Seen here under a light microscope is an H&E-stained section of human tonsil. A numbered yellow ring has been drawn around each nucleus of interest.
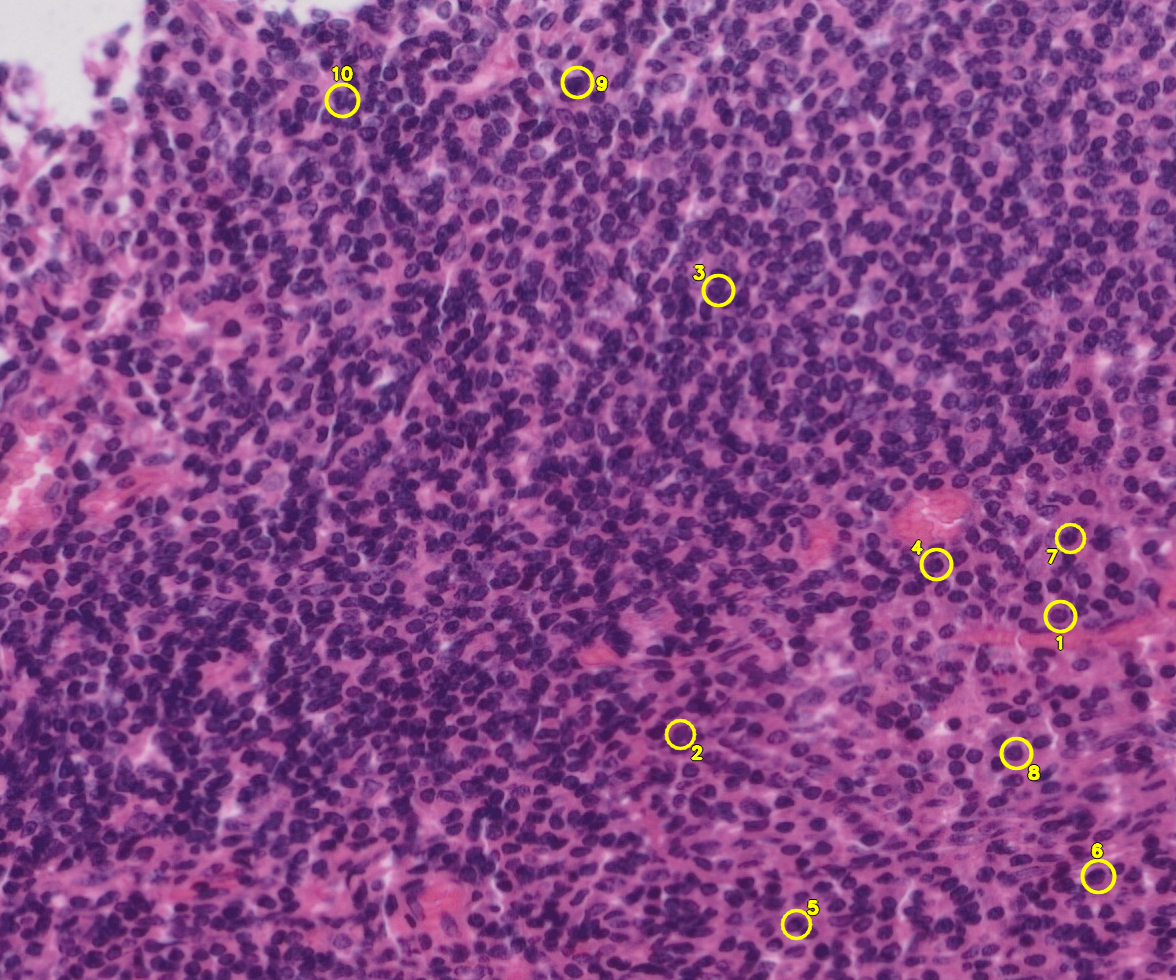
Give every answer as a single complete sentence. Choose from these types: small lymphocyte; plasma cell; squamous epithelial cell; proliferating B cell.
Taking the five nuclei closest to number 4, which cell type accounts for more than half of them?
Plasma cells account for more than half of the five nuclei nearest to number 4.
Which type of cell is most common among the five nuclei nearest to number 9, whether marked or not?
The majority of the five nuclei closest to number 9 belong to small lymphocytes.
